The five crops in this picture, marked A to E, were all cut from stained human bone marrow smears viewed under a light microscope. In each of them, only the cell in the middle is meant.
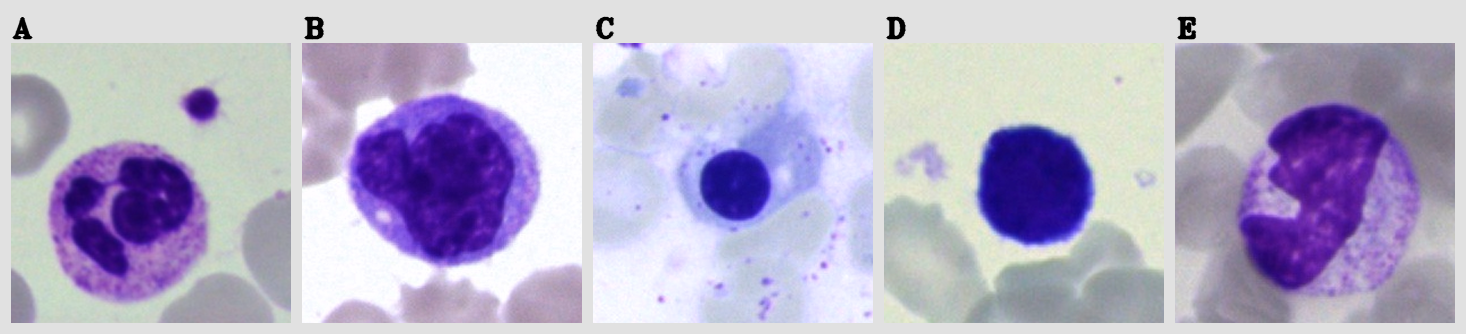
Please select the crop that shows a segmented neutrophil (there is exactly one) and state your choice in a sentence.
The one showing a segmented neutrophil is the crop labelled A.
